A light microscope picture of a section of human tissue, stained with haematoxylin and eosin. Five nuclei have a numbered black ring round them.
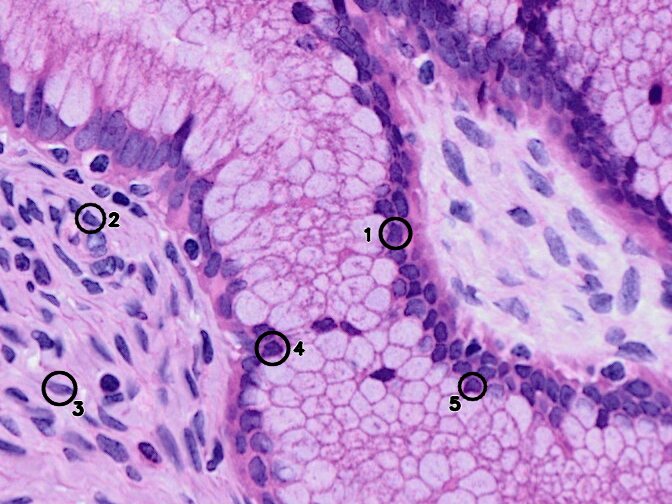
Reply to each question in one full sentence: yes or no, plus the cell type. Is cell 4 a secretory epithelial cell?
Yes, it checks out; the cell labelled 4 is a secretory epithelial cell.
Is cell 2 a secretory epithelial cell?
No, cell 2 is classified as a fibroblast rather than a secretory epithelial cell.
